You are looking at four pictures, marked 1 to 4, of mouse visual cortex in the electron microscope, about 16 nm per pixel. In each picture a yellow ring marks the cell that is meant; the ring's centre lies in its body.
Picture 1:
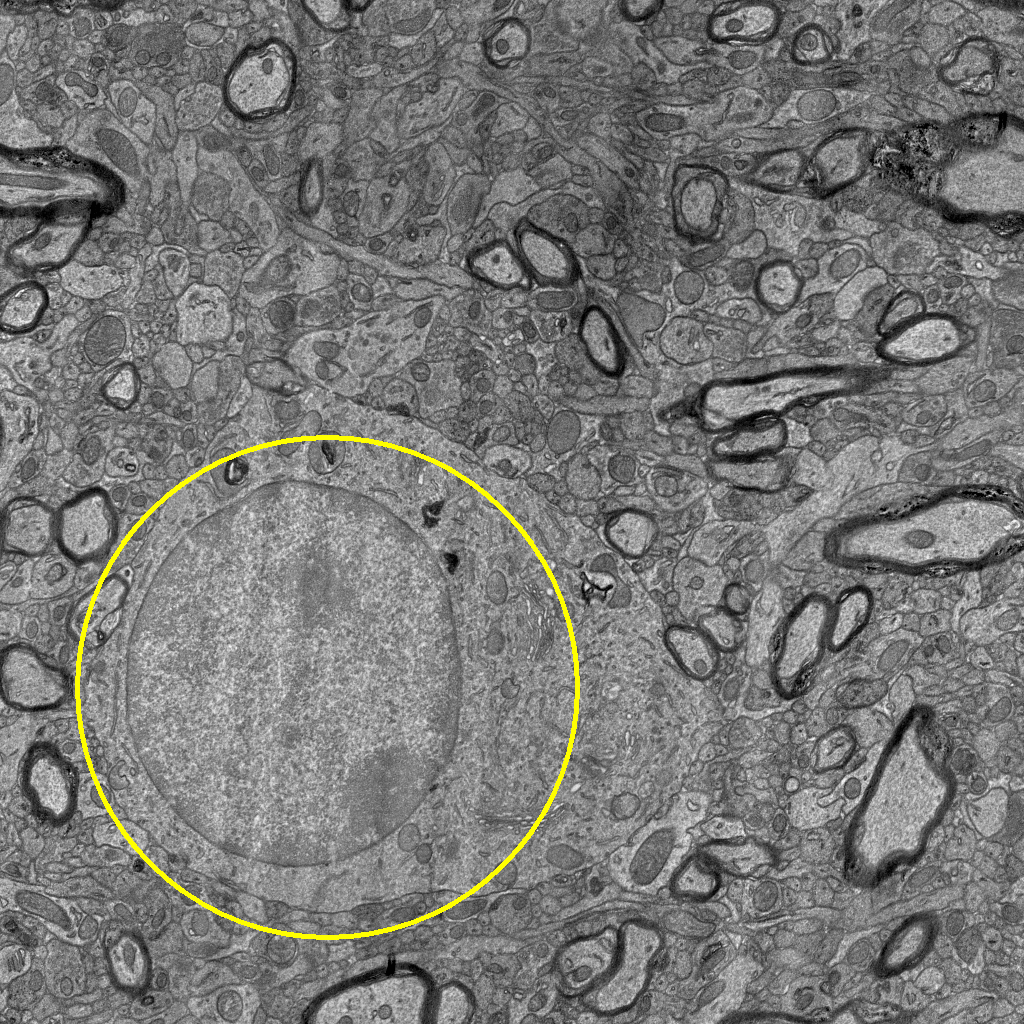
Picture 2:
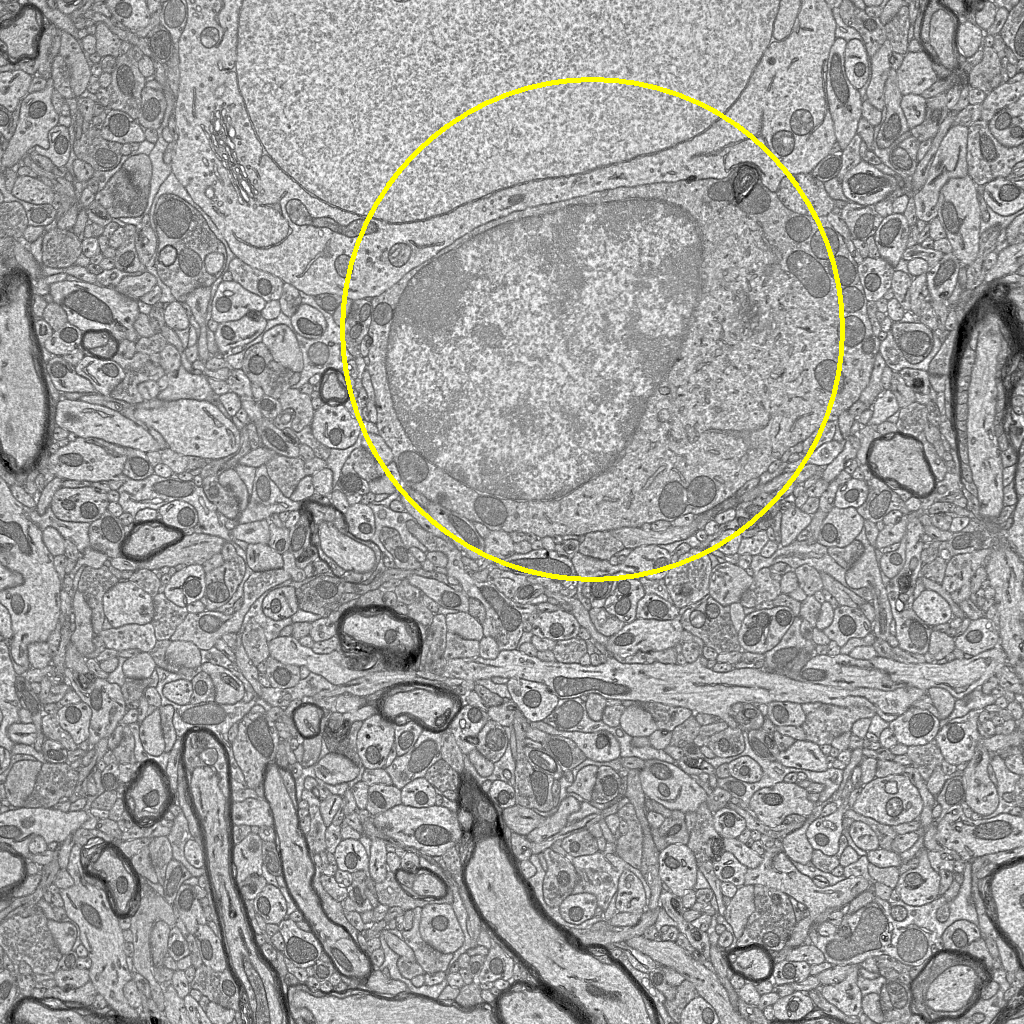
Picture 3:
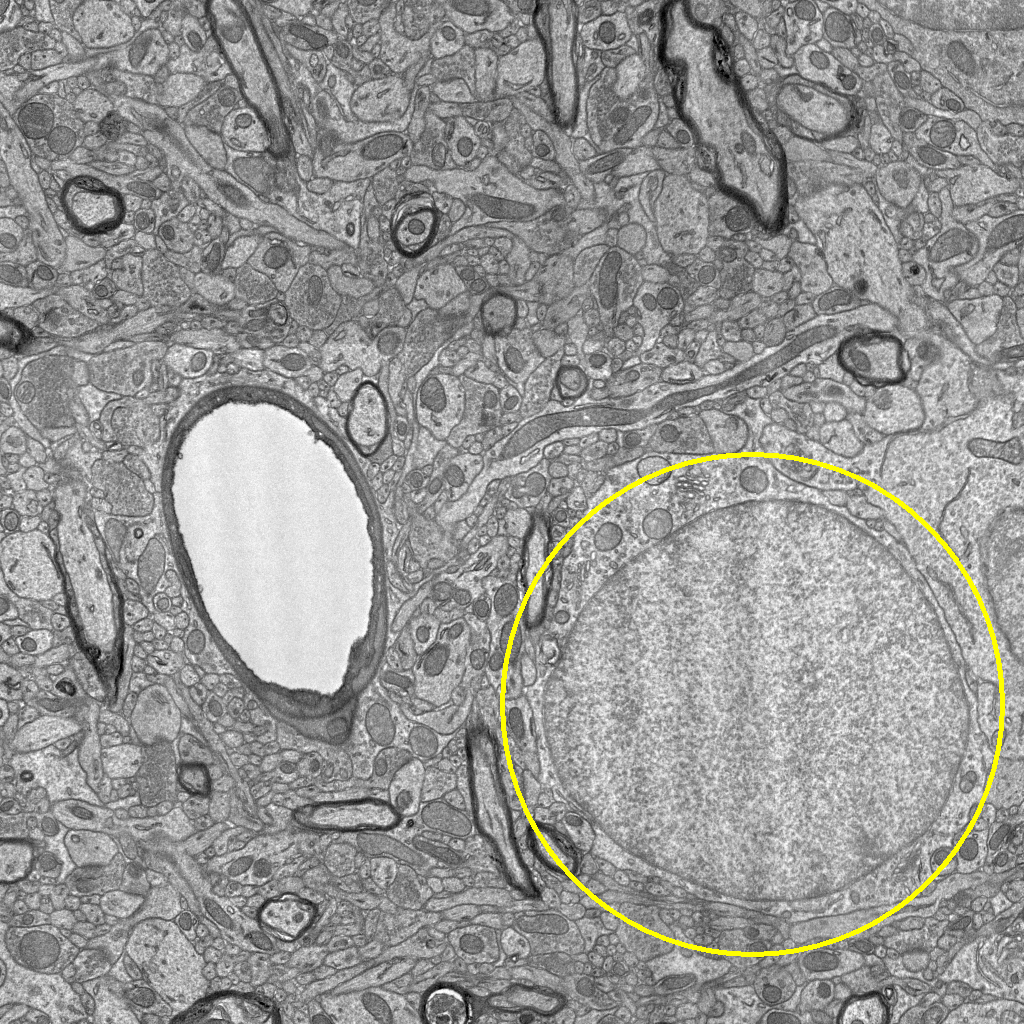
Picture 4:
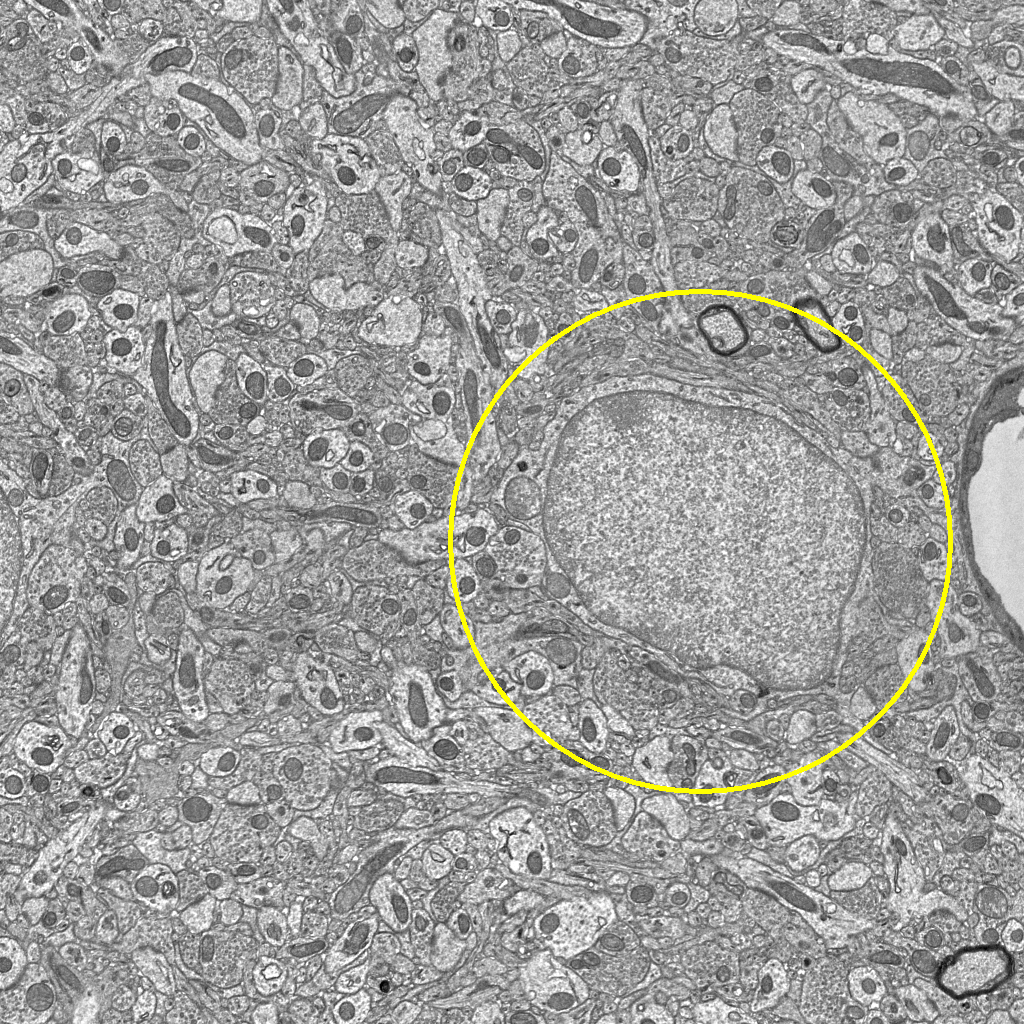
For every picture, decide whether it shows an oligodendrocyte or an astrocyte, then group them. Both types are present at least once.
Pictures 1 and 2 show oligodendrocytes, and pictures 3 and 4 show astrocytes.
